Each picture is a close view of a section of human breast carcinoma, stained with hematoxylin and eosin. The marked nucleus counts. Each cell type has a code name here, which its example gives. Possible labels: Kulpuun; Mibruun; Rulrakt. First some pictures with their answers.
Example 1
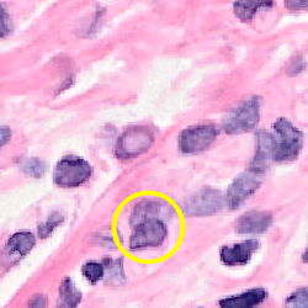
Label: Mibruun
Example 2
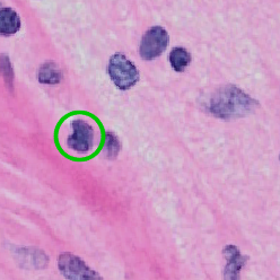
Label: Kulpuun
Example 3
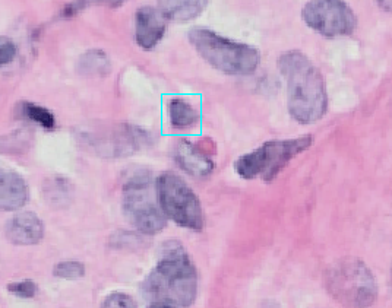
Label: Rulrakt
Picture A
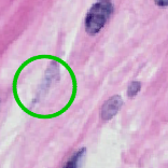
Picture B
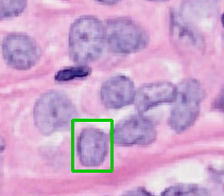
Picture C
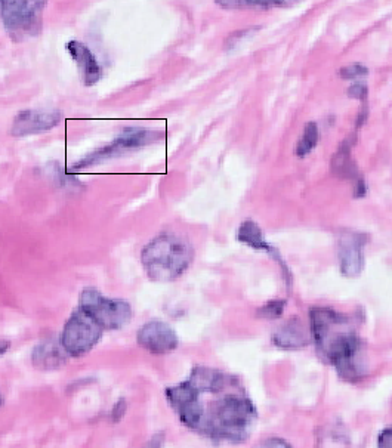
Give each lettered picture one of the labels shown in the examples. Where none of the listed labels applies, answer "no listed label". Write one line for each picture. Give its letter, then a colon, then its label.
A: no listed label
B: Mibruun
C: no listed label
